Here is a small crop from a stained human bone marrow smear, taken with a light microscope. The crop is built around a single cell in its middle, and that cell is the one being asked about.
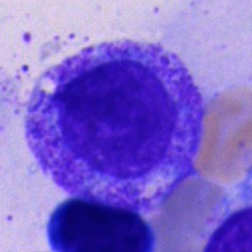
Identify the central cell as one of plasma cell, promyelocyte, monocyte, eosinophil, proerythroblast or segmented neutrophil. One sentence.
The cell marked by its central position in the crop is a promyelocyte.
